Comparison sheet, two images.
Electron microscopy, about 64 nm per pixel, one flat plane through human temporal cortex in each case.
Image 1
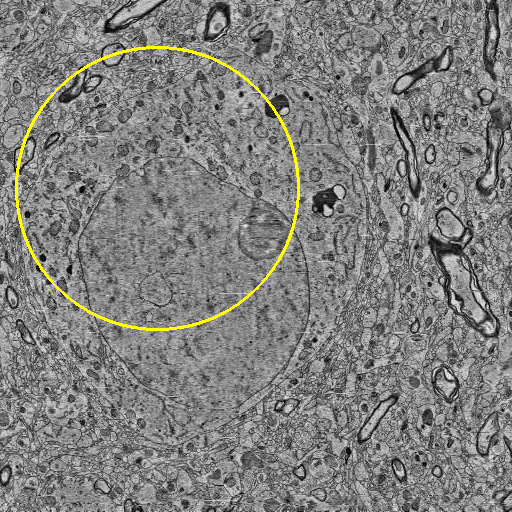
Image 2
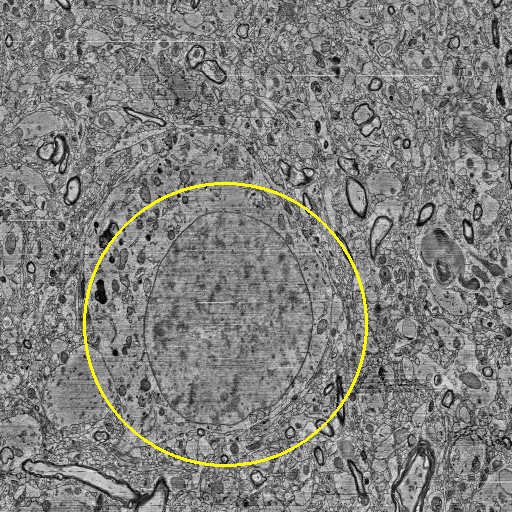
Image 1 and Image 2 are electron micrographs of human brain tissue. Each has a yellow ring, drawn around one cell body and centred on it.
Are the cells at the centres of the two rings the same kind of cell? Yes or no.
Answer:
yes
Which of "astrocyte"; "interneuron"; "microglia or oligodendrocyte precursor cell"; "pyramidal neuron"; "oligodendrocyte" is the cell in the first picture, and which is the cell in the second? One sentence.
The cell at the ring centre is a pyramidal neuron in both pictures.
